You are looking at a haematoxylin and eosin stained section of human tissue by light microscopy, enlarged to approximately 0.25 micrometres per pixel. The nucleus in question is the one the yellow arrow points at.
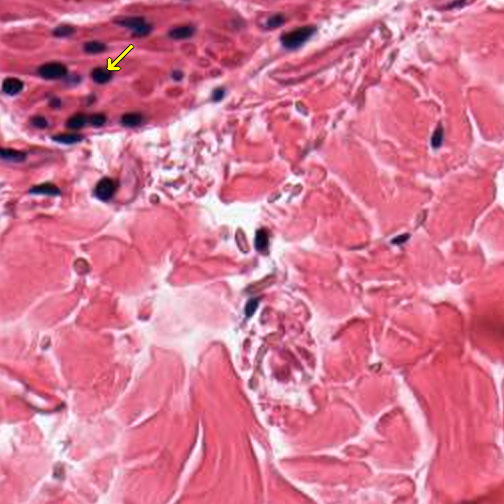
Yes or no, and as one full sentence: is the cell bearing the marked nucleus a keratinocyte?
No, in the stained section, the marked nucleus is not part of a keratinocyte.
